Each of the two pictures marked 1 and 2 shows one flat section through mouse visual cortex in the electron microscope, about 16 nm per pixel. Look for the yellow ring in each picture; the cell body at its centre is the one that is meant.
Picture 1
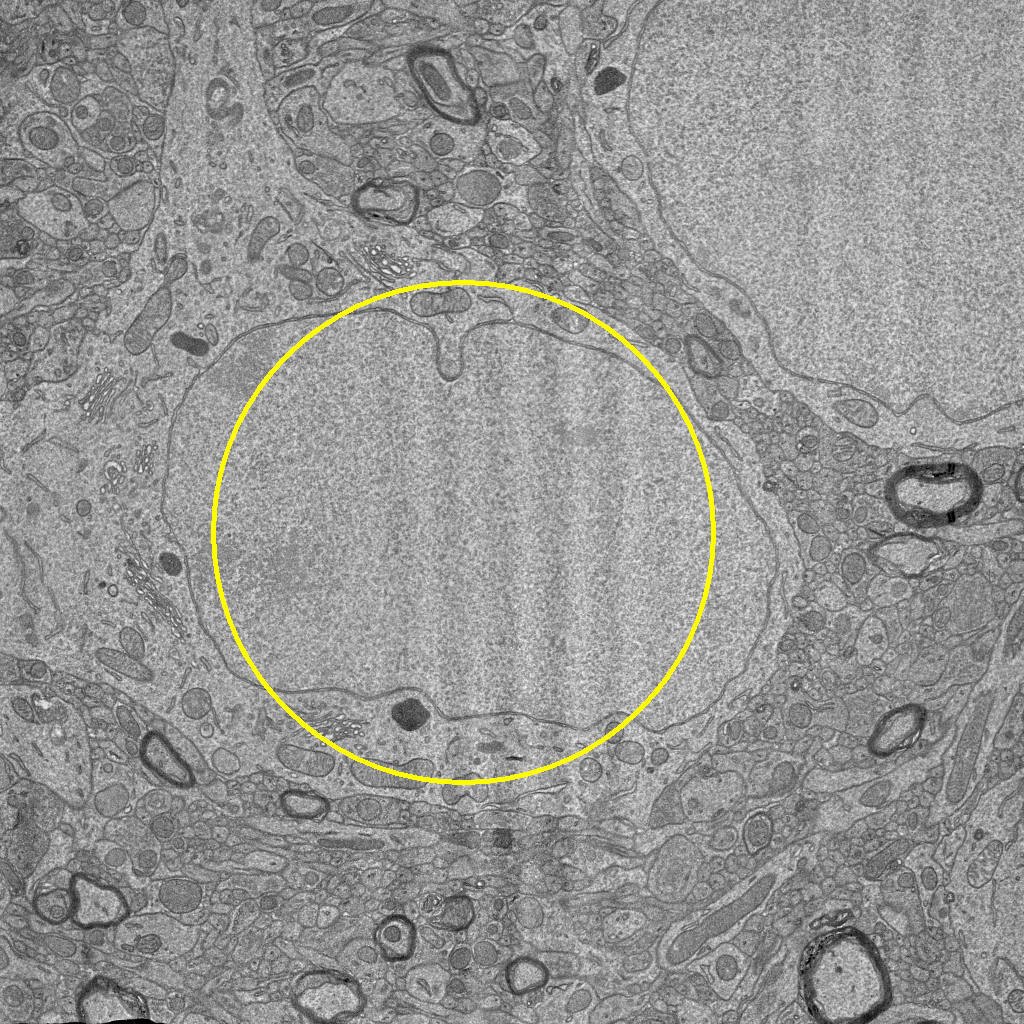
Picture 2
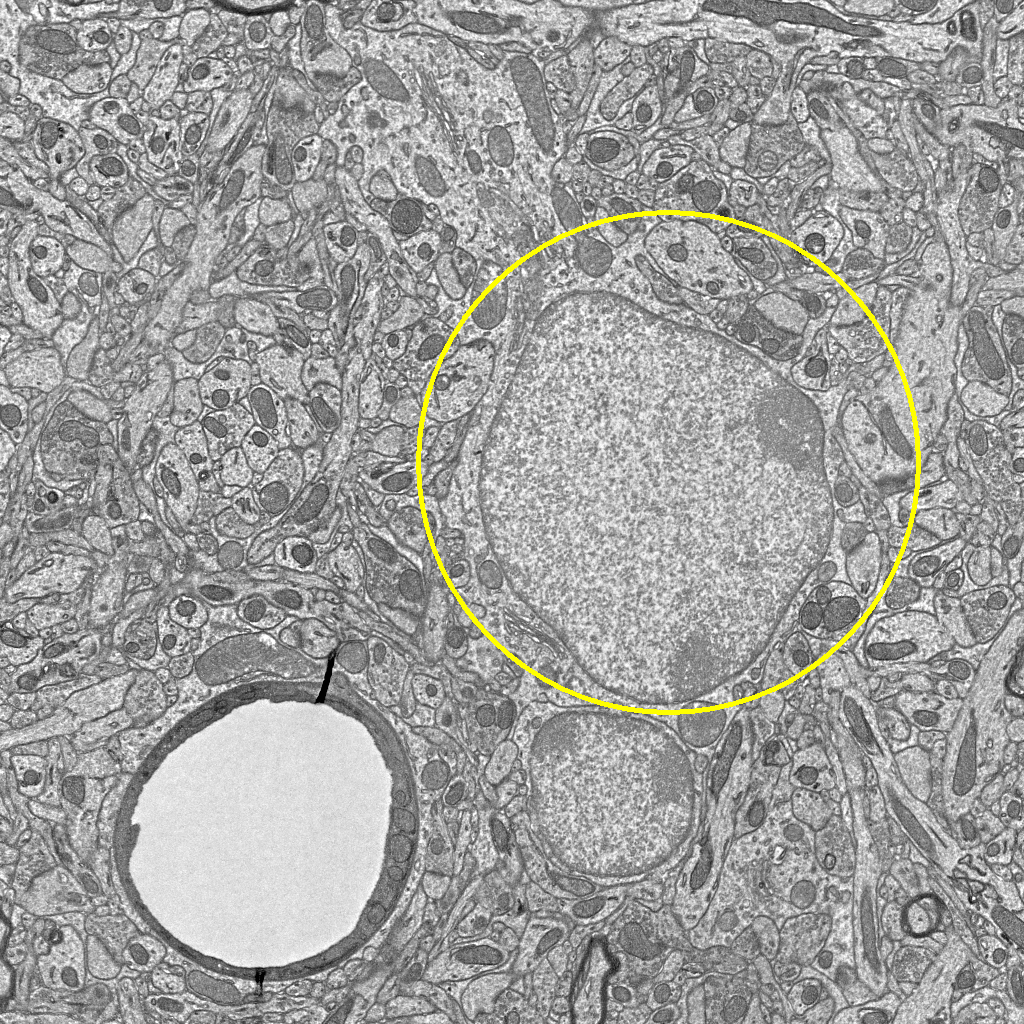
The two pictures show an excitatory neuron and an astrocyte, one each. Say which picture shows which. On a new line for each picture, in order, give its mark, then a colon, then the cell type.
1: excitatory neuron
2: astrocyte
